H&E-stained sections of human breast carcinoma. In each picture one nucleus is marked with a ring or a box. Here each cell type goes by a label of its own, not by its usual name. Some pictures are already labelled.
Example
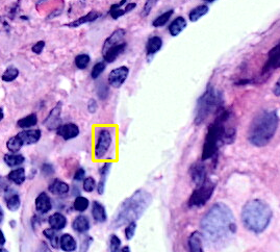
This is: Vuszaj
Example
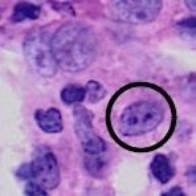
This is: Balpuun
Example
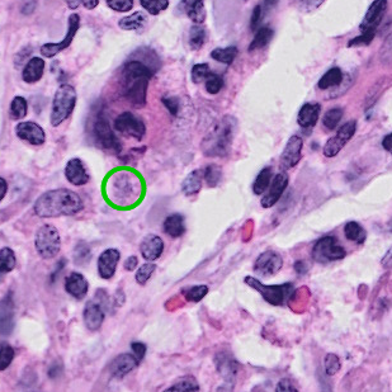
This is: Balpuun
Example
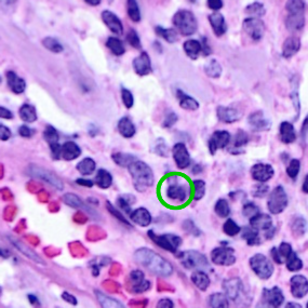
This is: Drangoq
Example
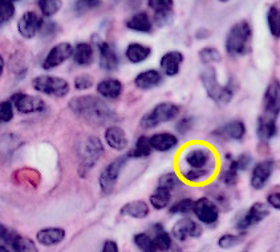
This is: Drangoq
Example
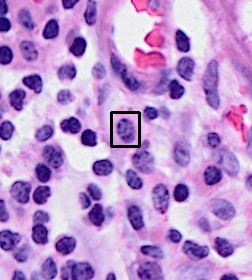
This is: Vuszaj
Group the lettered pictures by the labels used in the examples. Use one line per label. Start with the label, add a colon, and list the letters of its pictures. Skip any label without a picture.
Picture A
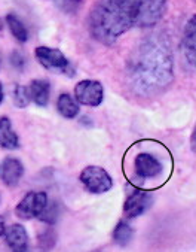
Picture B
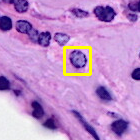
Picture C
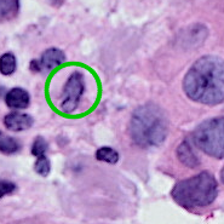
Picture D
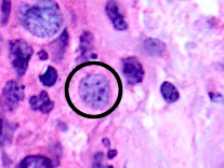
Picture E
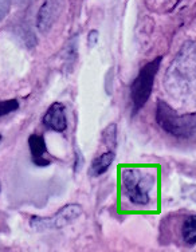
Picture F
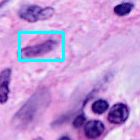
Vuszaj: B
Balpuun: C, D, E, F
Drangoq: A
